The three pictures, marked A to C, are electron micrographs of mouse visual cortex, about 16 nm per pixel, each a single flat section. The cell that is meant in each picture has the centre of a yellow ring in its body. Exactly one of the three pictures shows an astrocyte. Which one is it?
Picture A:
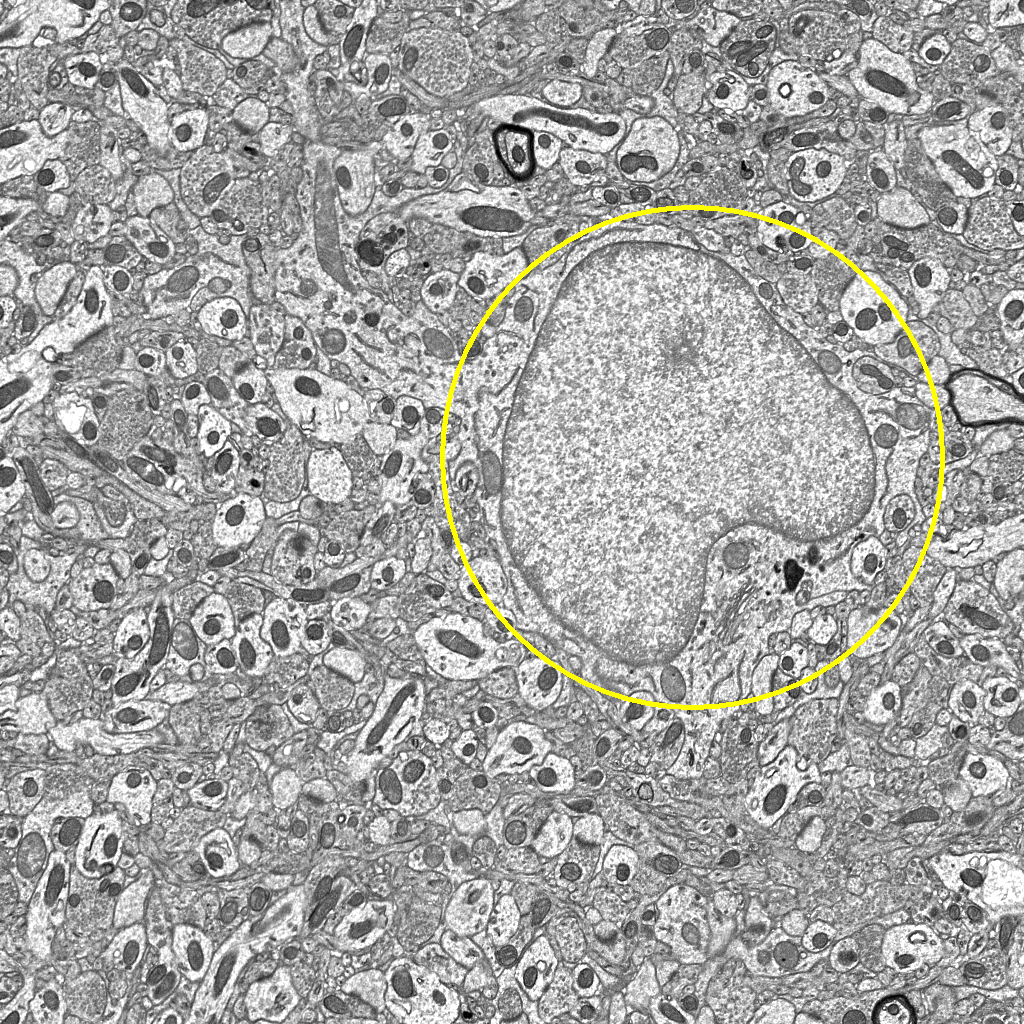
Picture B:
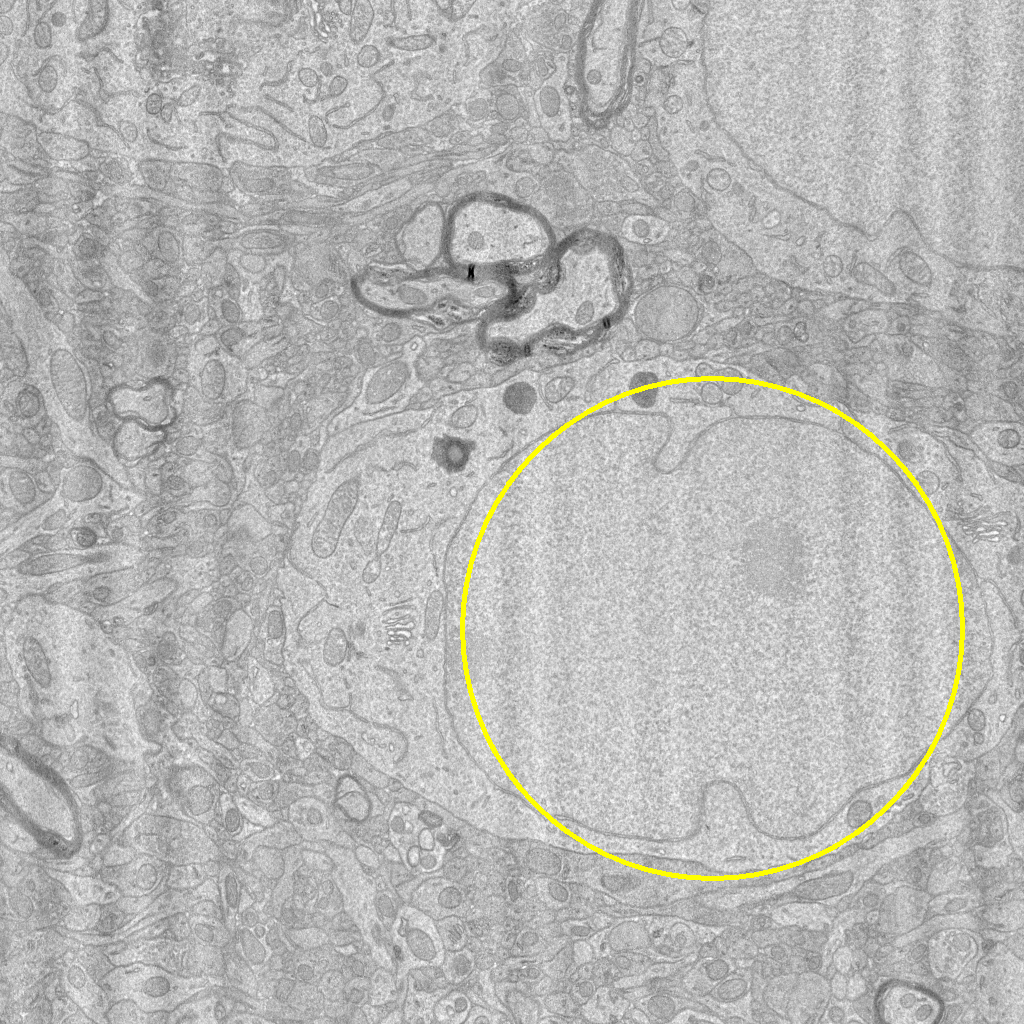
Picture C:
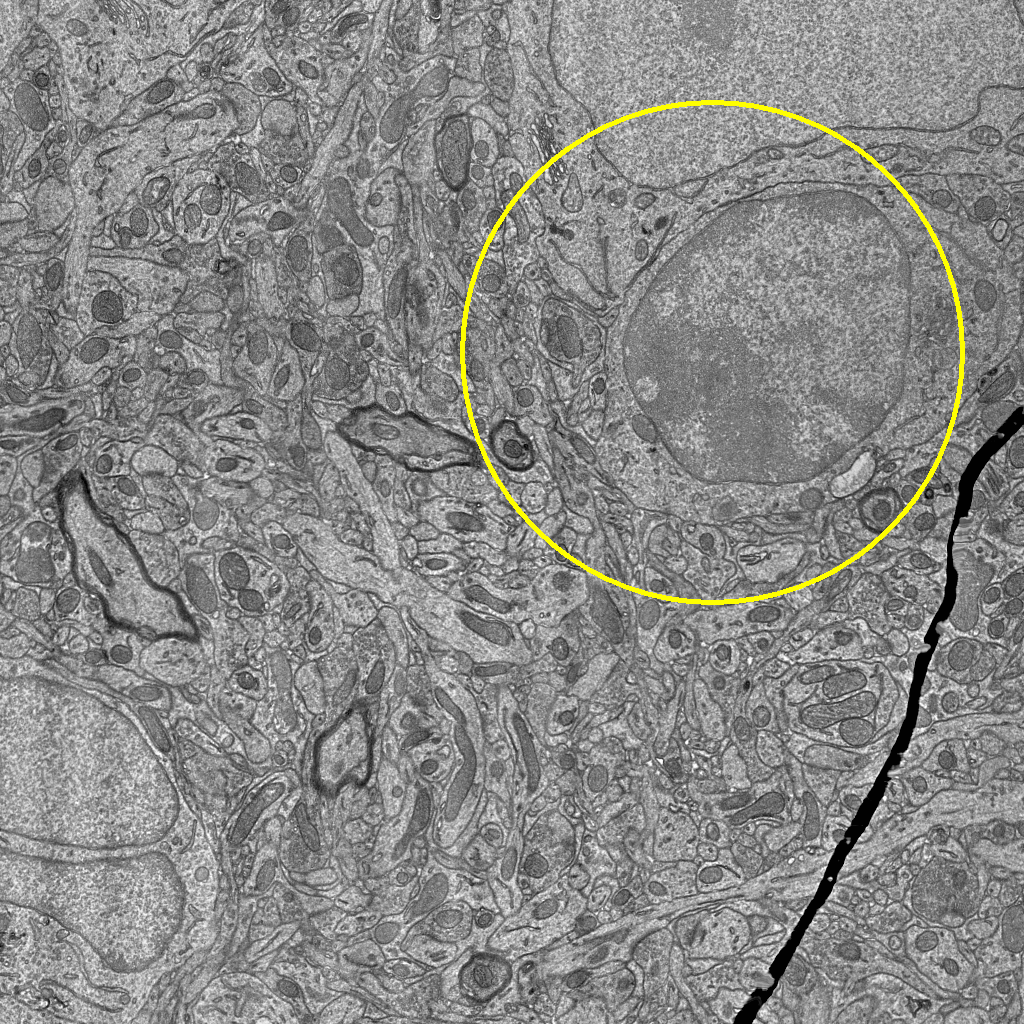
It is picture A that shows the astrocyte.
